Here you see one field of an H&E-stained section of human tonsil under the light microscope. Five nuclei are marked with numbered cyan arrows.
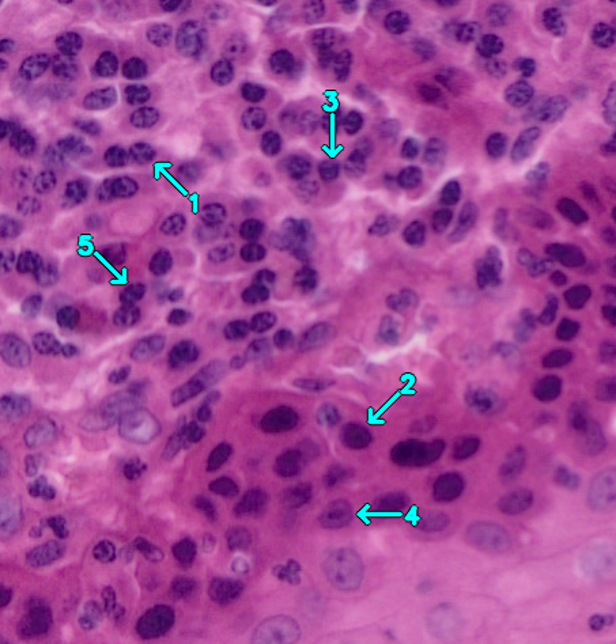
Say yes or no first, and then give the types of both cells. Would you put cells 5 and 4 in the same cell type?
No, cell 5 is a plasma cell whereas cell 4 is a squamous epithelial cell.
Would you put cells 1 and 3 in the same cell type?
Yes, that is correct, cells 1 and 3 are both plasma cells.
